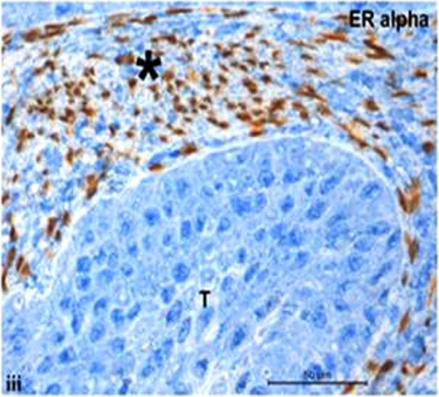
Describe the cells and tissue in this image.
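The tumour cells in the nest are large, closely packed, with pale blue cytoplasm and large oval nuclei, and show no brown staining. Around the nest lies stroma made of spindle-shaped cells whose elongated nuclei are stained brown. The brown nuclei follow the contour of the nest and are densest in the stroma at the top of the field. The border between nest and stroma is sharp.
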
